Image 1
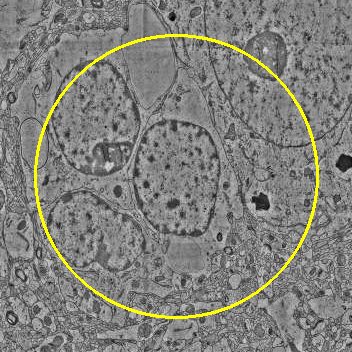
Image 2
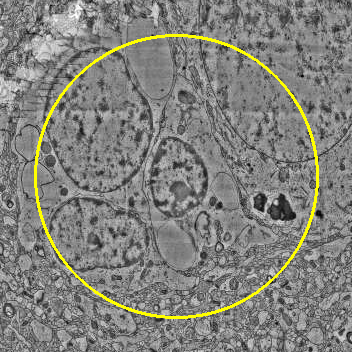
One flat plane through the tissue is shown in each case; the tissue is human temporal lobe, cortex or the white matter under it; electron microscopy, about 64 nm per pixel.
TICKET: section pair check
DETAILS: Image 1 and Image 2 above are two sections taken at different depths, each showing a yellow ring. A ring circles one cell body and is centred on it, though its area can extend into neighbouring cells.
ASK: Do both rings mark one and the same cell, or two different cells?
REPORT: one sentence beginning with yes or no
Yes, both circles in yellow pick out the same cell.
